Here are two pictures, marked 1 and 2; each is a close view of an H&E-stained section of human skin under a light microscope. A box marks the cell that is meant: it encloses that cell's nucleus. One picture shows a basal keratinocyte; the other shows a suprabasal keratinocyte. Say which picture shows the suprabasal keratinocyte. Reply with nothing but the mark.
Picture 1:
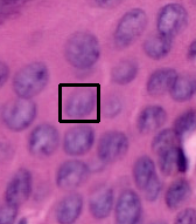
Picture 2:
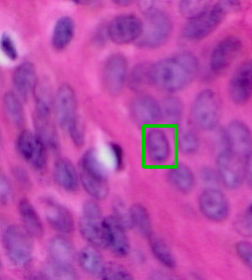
1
